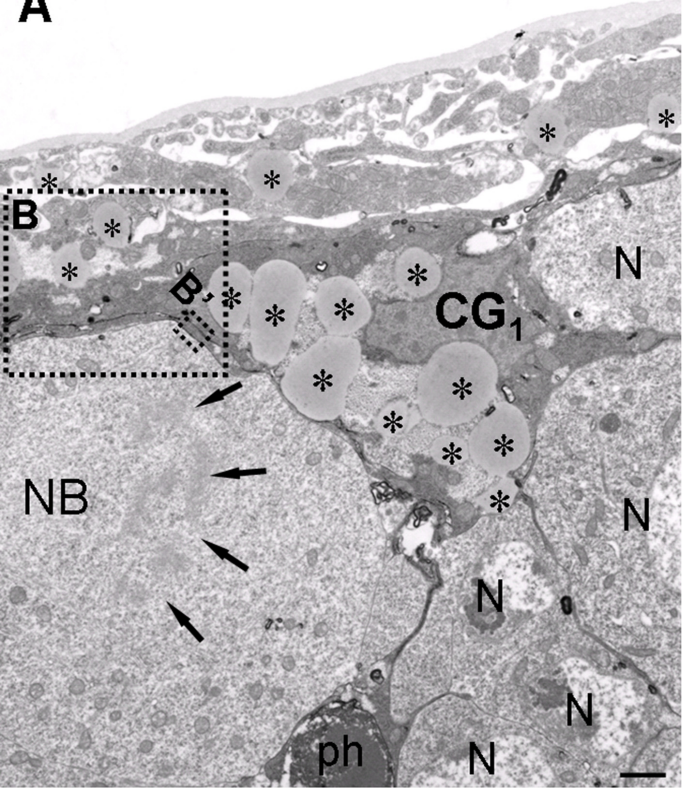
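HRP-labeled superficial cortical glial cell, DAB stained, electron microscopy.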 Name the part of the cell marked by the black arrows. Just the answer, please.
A: chromosomes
